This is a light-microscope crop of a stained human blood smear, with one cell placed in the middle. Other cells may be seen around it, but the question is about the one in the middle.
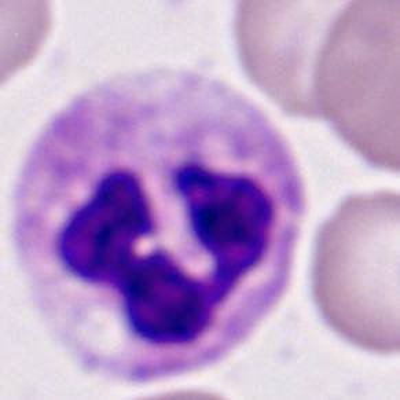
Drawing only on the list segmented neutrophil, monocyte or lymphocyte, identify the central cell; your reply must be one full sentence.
Present in the middle of the crop is a segmented neutrophil.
